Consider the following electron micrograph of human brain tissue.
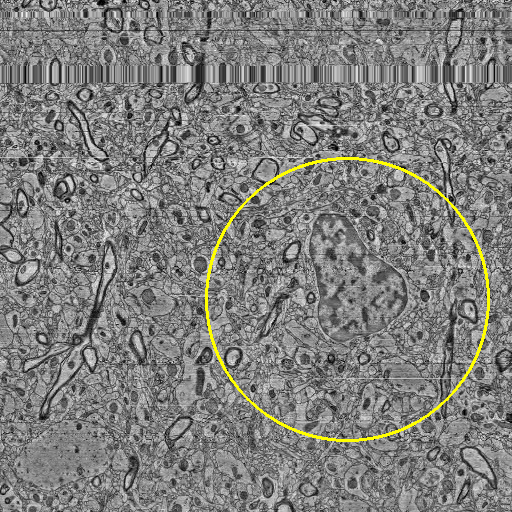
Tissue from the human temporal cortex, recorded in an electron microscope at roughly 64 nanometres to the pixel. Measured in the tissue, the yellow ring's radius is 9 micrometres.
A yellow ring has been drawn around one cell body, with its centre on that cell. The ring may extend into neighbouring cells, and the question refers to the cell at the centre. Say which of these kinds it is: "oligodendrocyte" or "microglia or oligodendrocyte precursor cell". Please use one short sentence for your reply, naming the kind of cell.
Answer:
The centre of the ring falls on a microglial cell or oligodendrocyte precursor cell.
